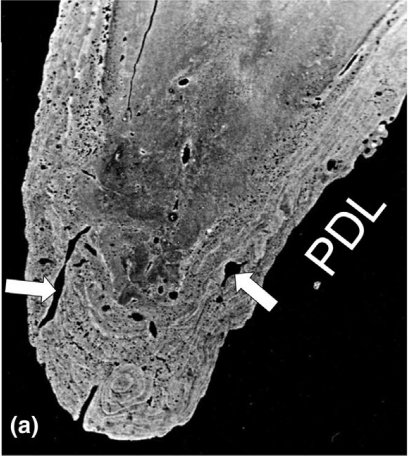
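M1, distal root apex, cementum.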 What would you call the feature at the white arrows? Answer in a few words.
Blood vessel canals.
